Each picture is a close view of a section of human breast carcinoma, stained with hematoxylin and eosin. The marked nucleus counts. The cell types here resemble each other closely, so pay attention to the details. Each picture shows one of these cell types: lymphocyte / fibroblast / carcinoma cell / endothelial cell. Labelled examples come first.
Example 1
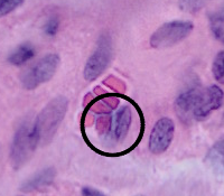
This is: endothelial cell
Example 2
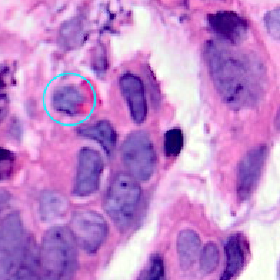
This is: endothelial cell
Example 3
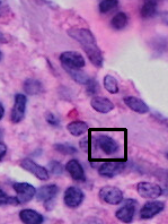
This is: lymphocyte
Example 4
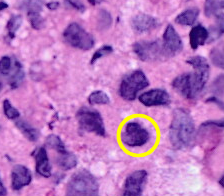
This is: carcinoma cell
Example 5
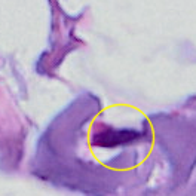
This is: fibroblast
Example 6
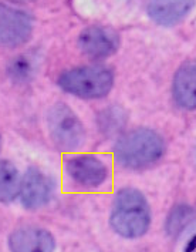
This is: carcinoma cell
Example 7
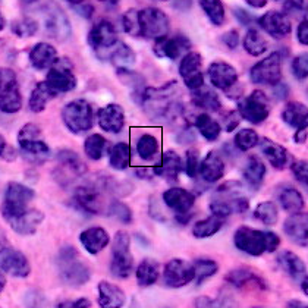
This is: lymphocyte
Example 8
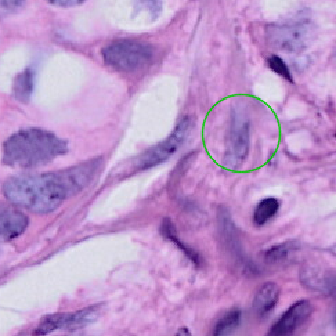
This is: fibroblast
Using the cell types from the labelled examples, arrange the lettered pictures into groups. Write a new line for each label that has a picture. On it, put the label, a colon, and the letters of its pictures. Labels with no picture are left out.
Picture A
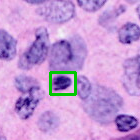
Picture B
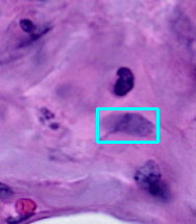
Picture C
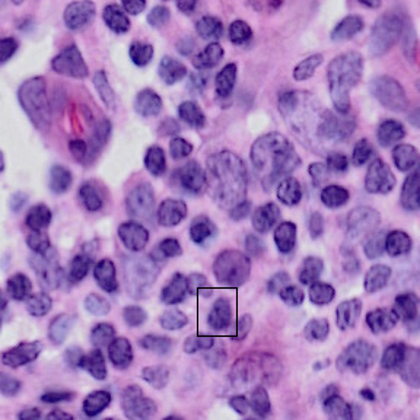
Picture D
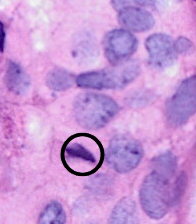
lymphocyte: A, C
fibroblast: B
carcinoma cell: D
